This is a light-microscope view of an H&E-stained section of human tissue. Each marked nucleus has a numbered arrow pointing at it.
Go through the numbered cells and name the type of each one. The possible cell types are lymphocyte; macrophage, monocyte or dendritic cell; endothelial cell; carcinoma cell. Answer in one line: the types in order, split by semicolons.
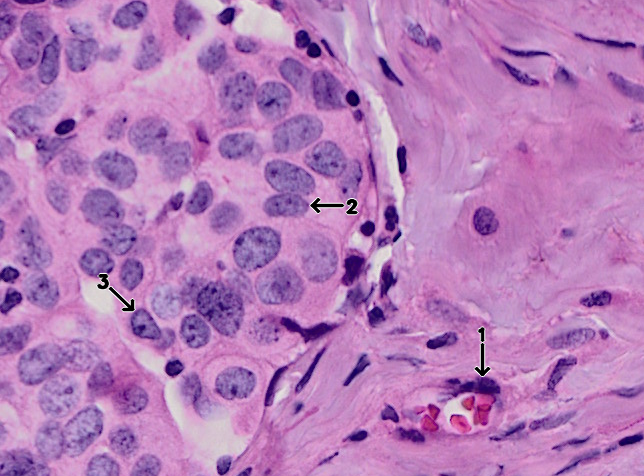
endothelial cell; carcinoma cell; carcinoma cell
